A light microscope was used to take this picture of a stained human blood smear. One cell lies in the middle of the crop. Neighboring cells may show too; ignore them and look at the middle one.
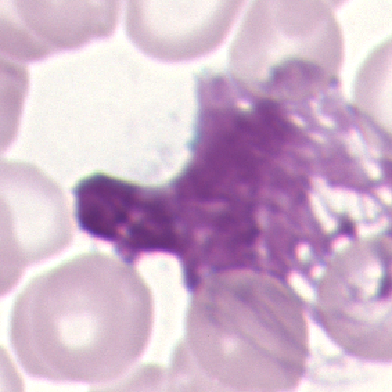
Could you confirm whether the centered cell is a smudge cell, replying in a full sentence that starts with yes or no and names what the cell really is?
Yes, the identification of the central cell as a smudge cell is correct.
